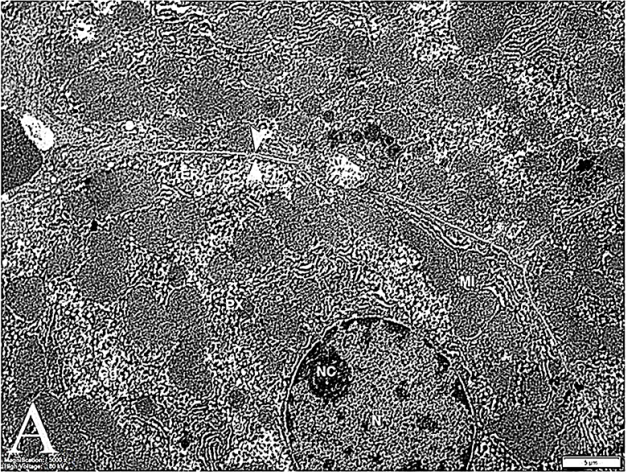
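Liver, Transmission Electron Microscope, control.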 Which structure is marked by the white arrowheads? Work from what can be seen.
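Cell boundary. A thin continuous line runs between the two arrowheads. The line separates two regions of cytoplasm.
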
